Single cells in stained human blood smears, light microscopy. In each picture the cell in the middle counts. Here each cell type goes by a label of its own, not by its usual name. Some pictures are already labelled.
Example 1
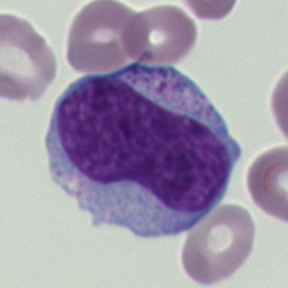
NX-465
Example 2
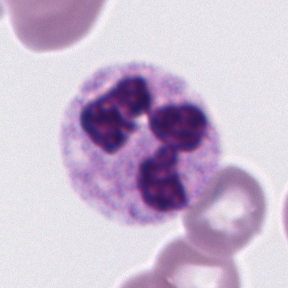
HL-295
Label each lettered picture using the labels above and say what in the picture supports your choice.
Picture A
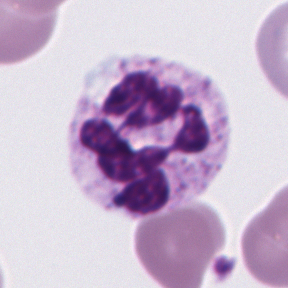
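HL-295: The nucleus is split into at least five separate lobes.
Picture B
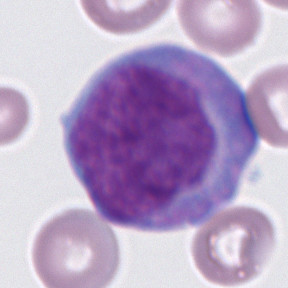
NX-465: The cytoplasm is blue.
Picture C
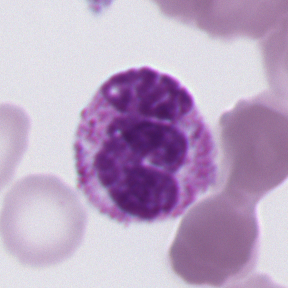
HL-295: The nucleus is divided into several lobes.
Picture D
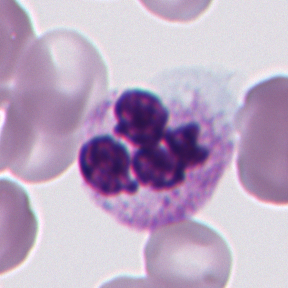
HL-295: The nucleus is divided into four separate lobes.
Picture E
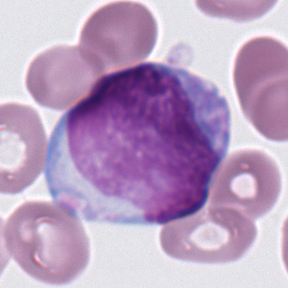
NX-465: The nucleus fills most of the cell.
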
